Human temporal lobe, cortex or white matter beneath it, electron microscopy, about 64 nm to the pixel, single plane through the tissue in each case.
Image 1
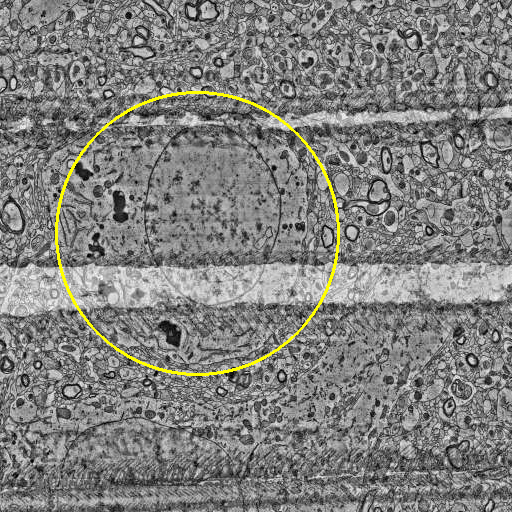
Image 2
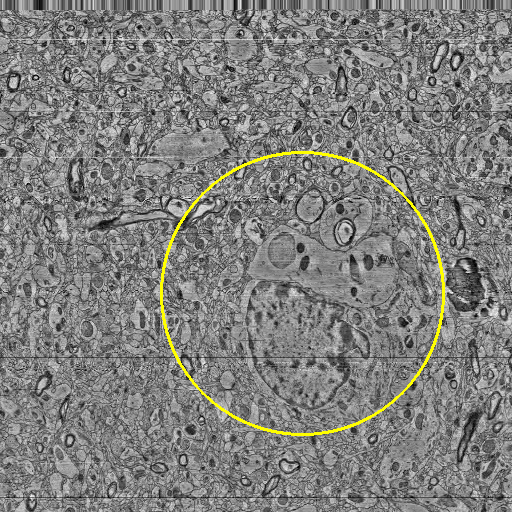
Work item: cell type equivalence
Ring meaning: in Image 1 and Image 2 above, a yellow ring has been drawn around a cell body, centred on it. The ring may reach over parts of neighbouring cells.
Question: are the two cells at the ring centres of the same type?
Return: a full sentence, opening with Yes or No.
No, the two centred cells are of two types.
